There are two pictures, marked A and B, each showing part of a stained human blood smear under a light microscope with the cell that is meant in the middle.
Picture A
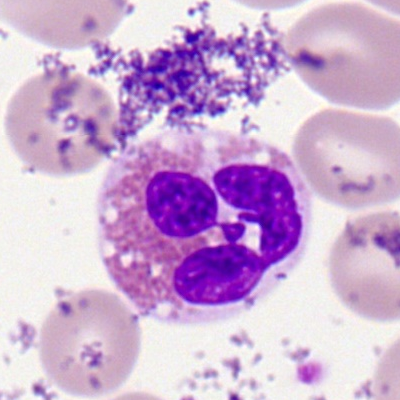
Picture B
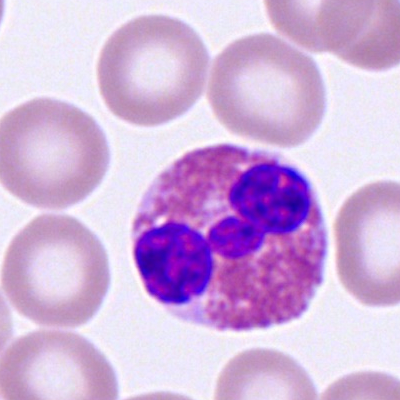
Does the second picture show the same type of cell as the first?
yes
